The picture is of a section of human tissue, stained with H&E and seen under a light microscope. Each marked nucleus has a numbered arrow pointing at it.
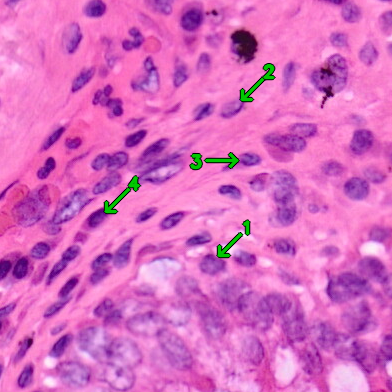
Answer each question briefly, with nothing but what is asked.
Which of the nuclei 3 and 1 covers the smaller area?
3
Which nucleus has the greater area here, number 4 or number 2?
2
